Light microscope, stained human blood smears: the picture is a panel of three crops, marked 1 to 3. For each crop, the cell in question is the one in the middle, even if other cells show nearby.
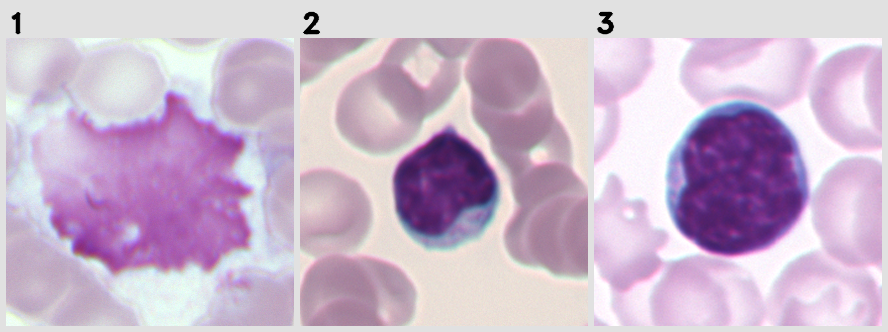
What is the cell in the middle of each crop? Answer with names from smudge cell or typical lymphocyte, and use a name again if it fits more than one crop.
1: smudge cell
2: typical lymphocyte
3: typical lymphocyte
